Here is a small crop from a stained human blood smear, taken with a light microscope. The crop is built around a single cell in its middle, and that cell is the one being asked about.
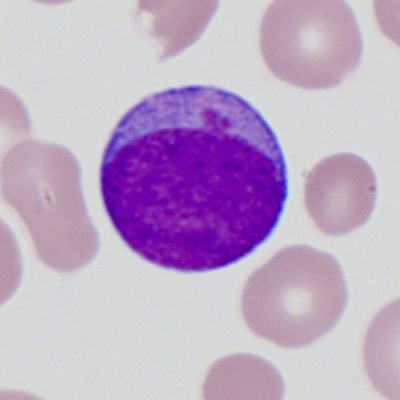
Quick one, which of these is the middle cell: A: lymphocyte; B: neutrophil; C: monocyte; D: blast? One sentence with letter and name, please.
Option D is correct in that the central cell is a blast.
